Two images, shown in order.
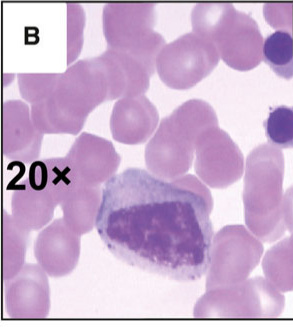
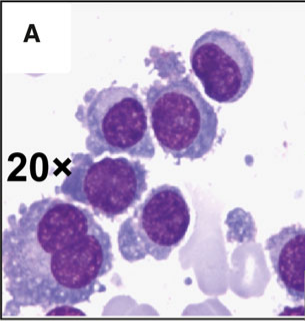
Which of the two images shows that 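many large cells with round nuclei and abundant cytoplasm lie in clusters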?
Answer: the second image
